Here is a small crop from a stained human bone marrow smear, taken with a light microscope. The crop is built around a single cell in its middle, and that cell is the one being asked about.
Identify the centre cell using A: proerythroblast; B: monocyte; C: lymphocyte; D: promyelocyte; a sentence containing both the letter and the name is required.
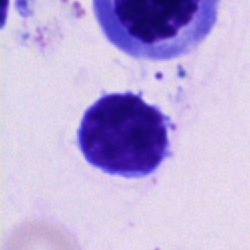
Option C is the correct one; it names the central cell as a lymphocyte.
